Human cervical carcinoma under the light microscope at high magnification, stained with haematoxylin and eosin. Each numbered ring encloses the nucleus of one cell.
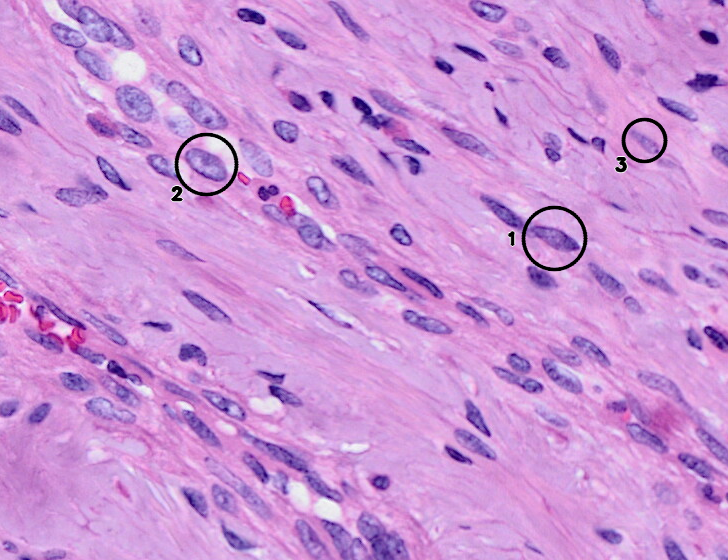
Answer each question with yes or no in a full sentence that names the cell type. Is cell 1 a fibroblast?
Yes, the cell that is numbered 1 is a fibroblast.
